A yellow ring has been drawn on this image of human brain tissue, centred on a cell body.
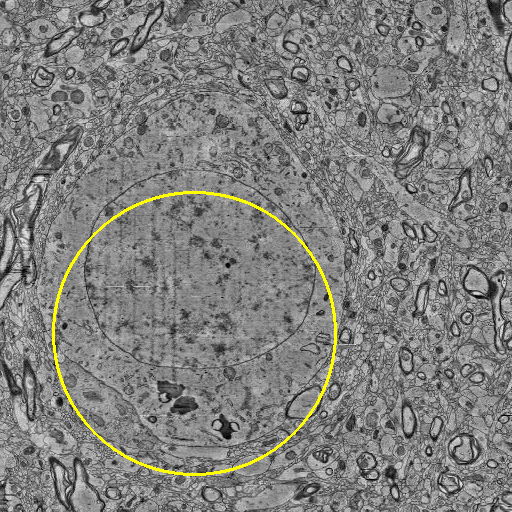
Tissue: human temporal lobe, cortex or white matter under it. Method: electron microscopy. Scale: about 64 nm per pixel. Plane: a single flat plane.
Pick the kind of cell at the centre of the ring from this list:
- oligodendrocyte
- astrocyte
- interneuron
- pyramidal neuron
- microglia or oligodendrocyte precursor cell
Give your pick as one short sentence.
The centre of the ring holds a pyramidal neuron.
